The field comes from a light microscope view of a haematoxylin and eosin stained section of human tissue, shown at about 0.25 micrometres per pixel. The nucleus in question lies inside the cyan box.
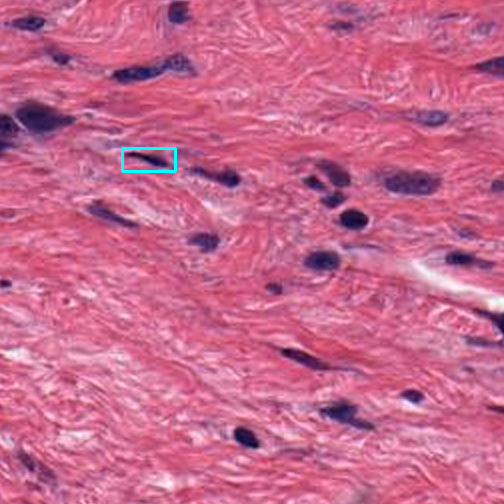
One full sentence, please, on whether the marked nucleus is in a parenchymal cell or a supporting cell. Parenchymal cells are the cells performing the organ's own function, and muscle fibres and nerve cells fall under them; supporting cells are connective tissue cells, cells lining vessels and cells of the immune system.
The marked nucleus belongs to a supporting cell.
